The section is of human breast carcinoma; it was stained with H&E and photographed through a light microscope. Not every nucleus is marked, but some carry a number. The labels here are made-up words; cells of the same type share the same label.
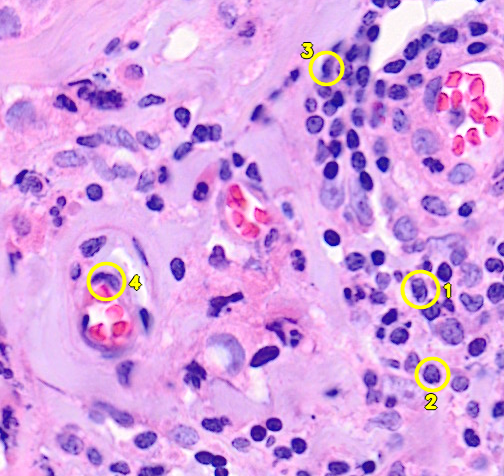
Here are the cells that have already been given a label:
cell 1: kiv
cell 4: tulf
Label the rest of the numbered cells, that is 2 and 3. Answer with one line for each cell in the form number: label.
2: kiv
3: kiv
